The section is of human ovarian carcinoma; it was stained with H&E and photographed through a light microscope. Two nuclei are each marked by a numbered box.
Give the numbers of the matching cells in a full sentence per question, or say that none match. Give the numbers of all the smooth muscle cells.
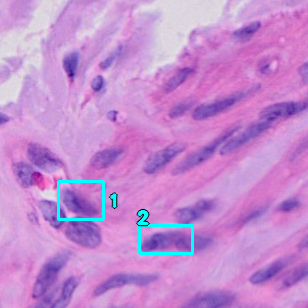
Cell 2 is a smooth muscle cell, while every other numbered cell is not.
